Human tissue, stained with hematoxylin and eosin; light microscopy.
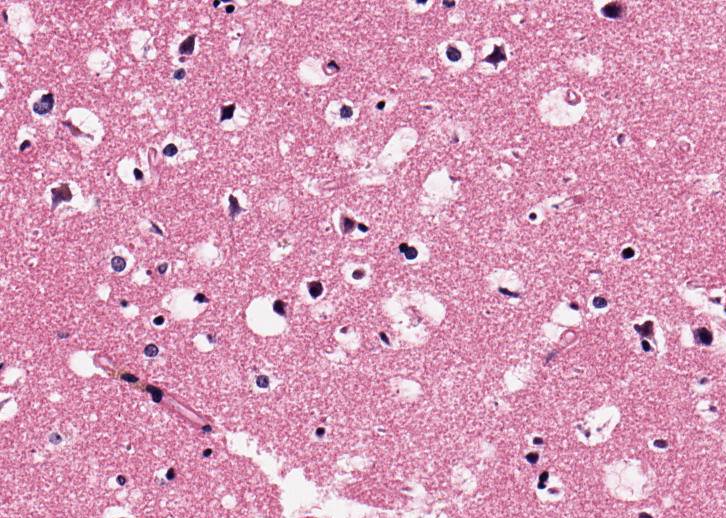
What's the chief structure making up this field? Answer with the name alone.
cerebral cortex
